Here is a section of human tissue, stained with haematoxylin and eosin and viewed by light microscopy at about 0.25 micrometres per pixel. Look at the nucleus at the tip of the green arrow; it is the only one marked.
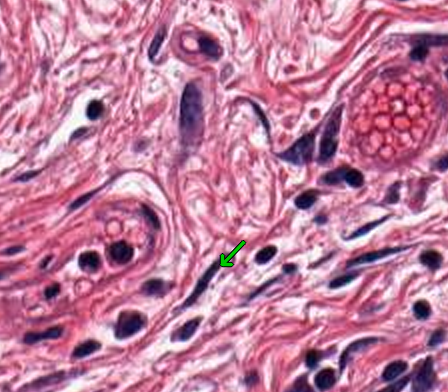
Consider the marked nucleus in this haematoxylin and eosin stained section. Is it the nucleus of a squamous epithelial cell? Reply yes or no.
no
